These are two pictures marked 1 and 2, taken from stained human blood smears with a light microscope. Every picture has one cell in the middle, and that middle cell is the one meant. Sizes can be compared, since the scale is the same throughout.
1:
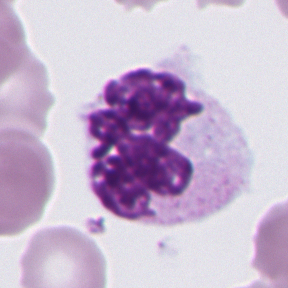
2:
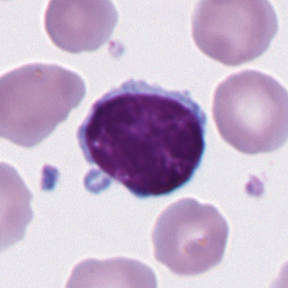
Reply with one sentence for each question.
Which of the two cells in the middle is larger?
It is the cell in crop 1, about 2 times as large in area as the cell in crop 2.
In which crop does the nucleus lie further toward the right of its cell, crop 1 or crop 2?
Seen within its cell, the nucleus in crop 2 lies further toward the right.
